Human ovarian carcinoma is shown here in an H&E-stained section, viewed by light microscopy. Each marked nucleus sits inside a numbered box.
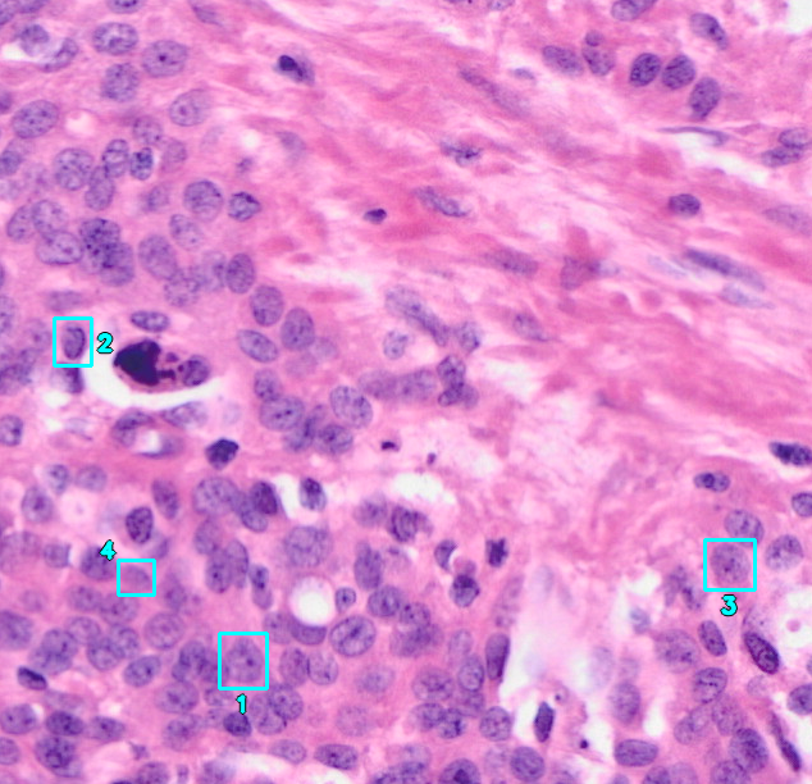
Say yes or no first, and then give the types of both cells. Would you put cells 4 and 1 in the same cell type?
Yes, the two numbered cells, 4 and 1, are both carcinoma cells.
